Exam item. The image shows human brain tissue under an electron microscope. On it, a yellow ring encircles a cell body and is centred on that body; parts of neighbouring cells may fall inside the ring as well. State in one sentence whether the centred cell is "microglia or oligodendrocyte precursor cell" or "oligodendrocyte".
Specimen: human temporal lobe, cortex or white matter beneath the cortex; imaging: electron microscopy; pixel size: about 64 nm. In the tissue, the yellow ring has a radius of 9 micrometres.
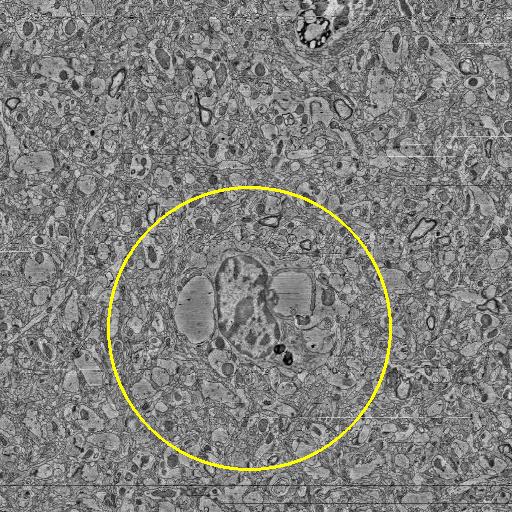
The cell body centred in the ring is a microglial cell or oligodendrocyte precursor cell.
